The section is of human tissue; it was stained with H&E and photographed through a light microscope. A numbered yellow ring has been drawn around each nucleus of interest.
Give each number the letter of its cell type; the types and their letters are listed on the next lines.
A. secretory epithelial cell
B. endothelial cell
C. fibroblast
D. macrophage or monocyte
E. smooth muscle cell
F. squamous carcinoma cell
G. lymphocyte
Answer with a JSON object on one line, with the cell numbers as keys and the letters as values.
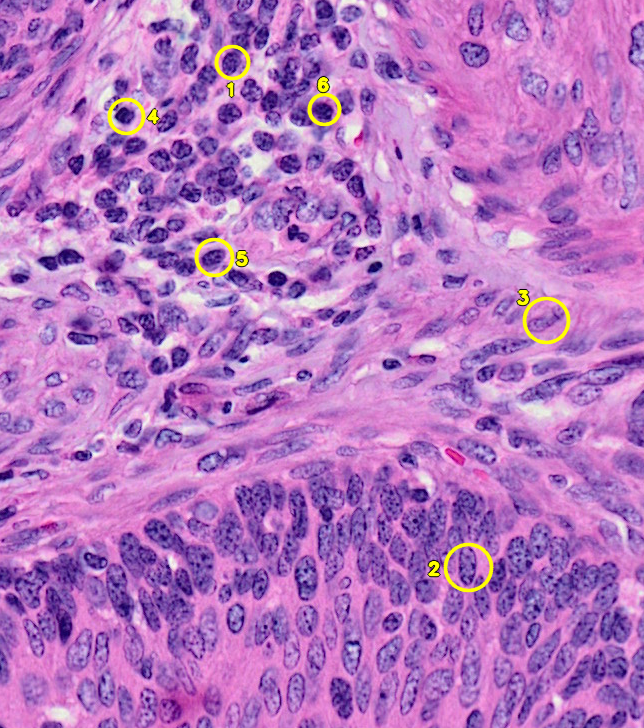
{"1": "G", "2": "F", "3": "E", "4": "G", "5": "G", "6": "G"}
